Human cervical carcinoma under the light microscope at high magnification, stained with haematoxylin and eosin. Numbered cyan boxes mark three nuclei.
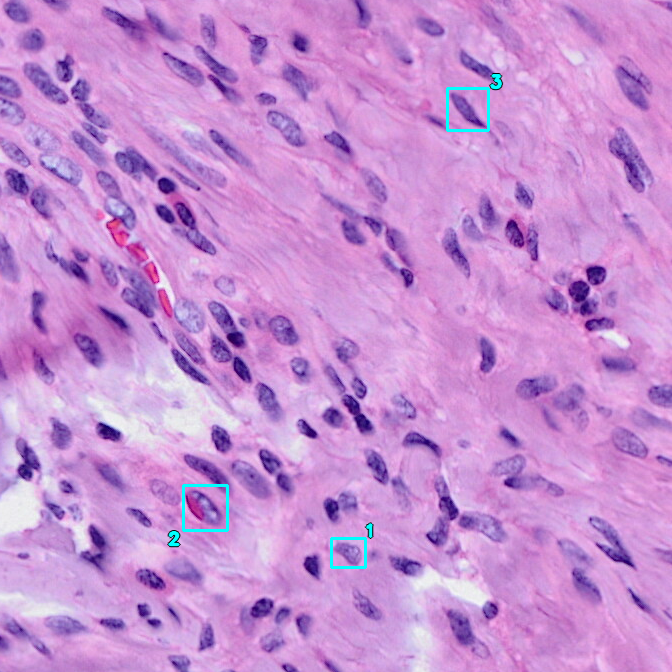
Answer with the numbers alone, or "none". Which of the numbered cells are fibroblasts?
1, 3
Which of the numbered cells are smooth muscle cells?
none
